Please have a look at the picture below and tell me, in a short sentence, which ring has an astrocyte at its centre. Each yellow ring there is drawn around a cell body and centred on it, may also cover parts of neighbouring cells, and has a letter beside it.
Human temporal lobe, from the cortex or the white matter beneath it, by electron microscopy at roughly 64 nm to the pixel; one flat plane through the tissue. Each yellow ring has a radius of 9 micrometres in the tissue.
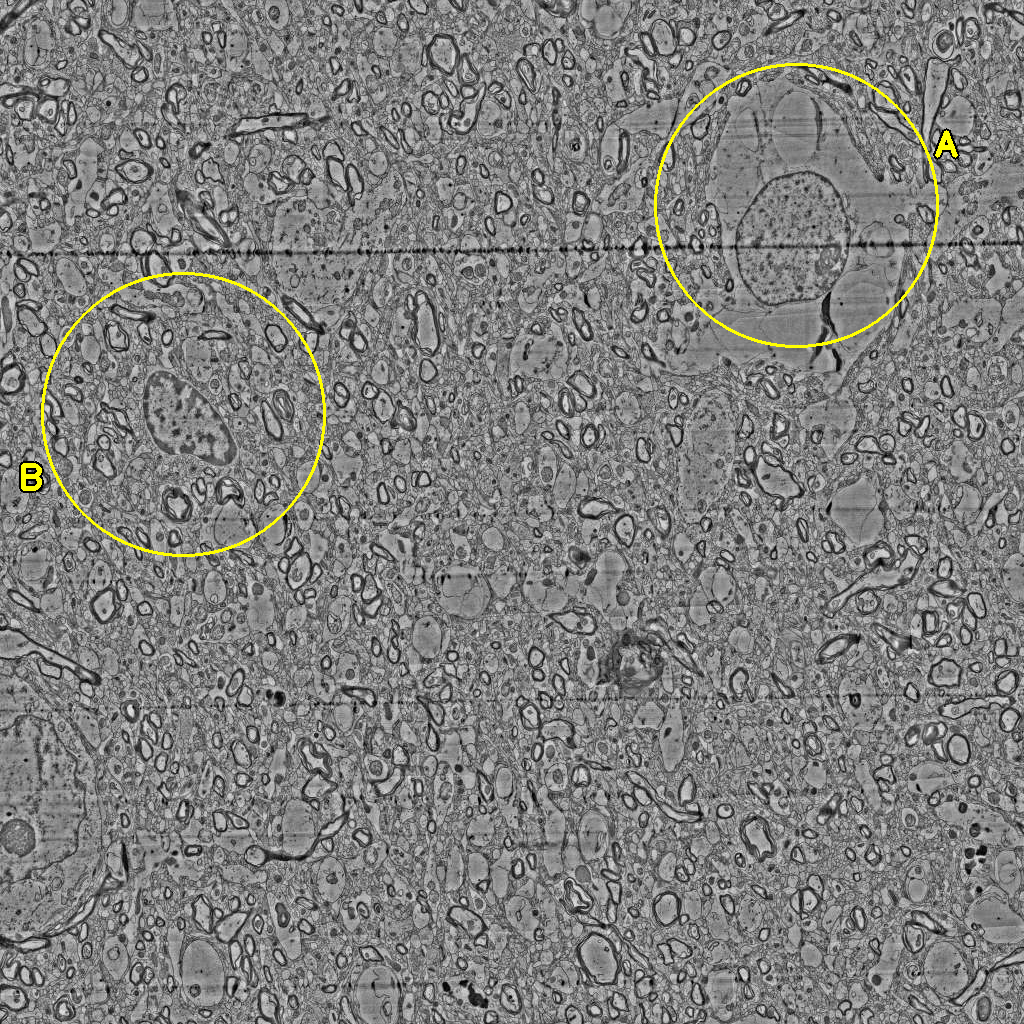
Ring A is centred on it.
